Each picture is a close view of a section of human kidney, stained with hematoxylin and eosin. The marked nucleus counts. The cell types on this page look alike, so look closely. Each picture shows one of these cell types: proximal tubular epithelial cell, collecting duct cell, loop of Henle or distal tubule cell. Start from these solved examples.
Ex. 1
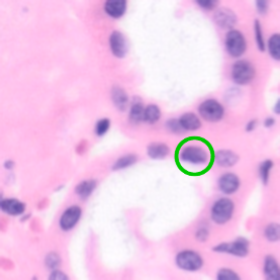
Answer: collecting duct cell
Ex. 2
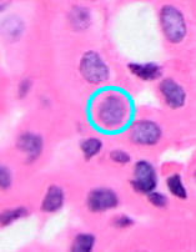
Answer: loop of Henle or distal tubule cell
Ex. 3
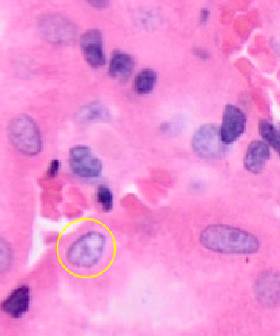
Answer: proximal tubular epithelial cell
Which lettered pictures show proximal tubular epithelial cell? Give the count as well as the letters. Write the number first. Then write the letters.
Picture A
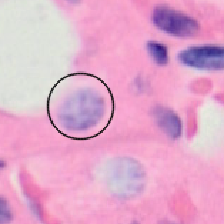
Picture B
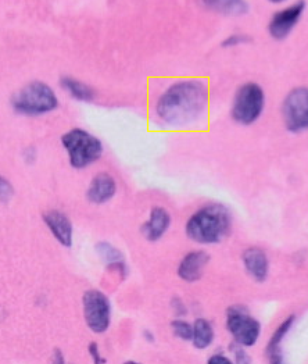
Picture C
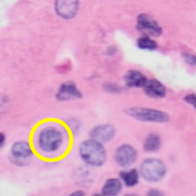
0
